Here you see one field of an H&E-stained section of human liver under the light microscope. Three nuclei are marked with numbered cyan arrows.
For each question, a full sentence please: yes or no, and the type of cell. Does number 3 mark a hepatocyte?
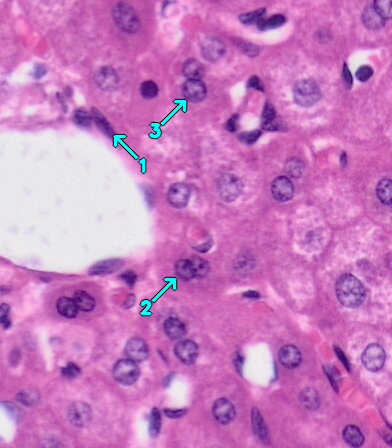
Yes, the cell sitting at number 3 is a hepatocyte.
